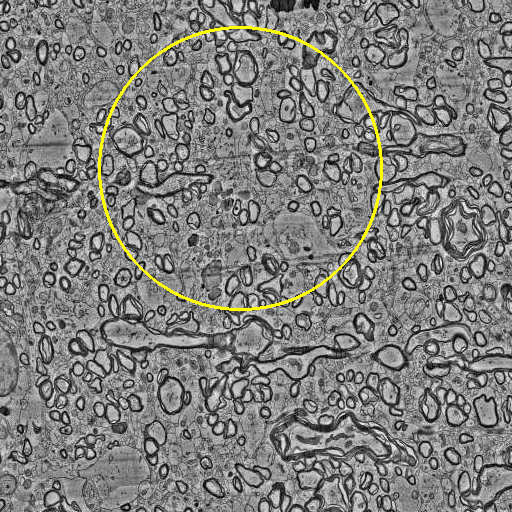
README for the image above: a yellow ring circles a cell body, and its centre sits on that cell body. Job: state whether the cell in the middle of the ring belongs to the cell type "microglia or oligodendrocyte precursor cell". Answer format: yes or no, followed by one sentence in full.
Yes, the cell sitting in the middle of the ring in the image belongs to that type.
